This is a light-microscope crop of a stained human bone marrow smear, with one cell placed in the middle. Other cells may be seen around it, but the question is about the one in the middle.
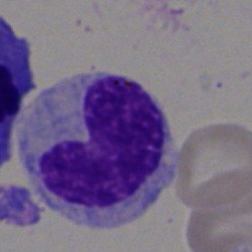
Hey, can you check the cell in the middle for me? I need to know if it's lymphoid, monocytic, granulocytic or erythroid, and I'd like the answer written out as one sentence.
Under the granulocytic lineage falls the cell in the middle of the crop.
